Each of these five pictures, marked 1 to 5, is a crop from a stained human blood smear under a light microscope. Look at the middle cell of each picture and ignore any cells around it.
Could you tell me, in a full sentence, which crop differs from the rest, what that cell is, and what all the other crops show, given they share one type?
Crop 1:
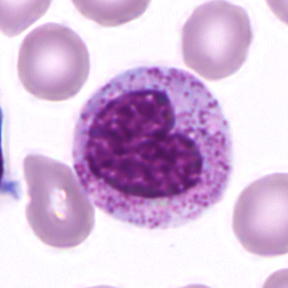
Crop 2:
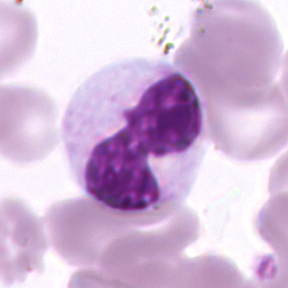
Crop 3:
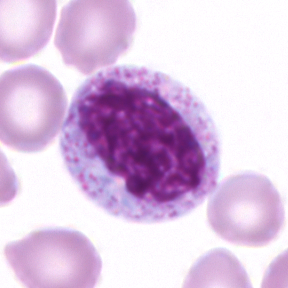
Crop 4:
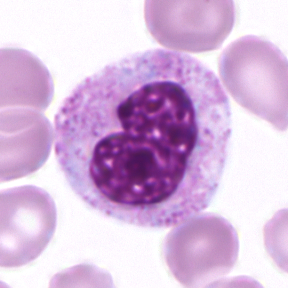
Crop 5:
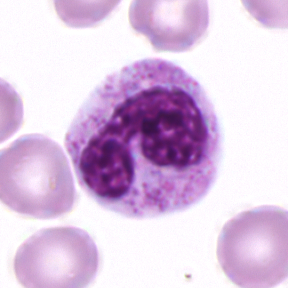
In crop 3 the central cell is a metamyelocyte, whereas the other crops all contain band neutrophils.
